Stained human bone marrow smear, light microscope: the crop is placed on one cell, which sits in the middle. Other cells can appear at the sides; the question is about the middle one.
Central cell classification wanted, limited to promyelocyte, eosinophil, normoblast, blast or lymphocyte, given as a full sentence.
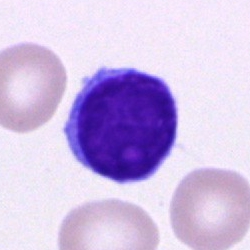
The cell of interest, in the center, is a lymphocyte.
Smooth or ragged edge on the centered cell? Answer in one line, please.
The cell membrane follows an uneven contour, either ragged or bearing projections.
